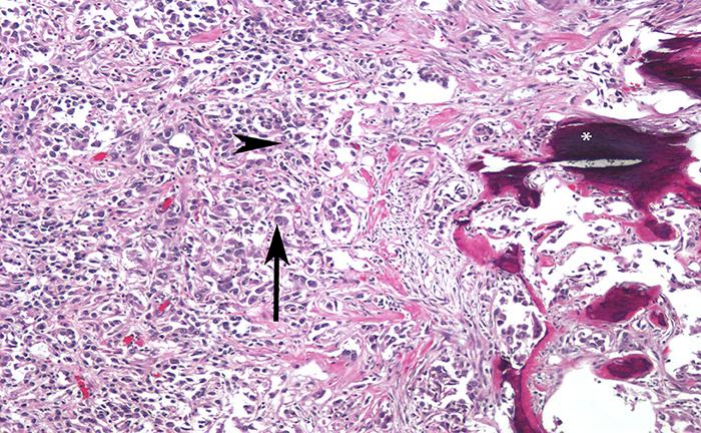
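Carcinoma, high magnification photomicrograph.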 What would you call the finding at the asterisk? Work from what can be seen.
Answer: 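Ossification. The asterisk lies on a dense, dark purple-red trabecula-like deposit on the right. Several similar irregular dense deposits border empty spaces nearby.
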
